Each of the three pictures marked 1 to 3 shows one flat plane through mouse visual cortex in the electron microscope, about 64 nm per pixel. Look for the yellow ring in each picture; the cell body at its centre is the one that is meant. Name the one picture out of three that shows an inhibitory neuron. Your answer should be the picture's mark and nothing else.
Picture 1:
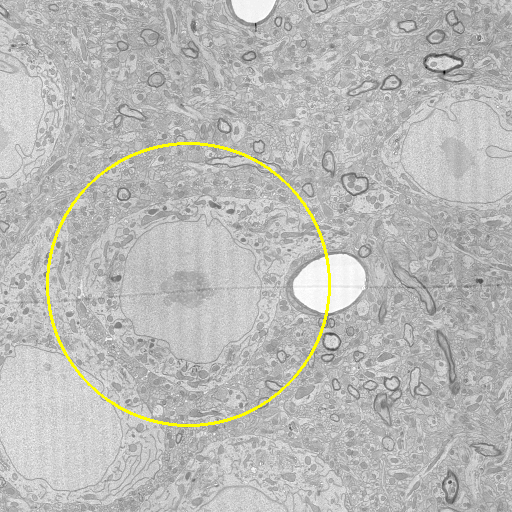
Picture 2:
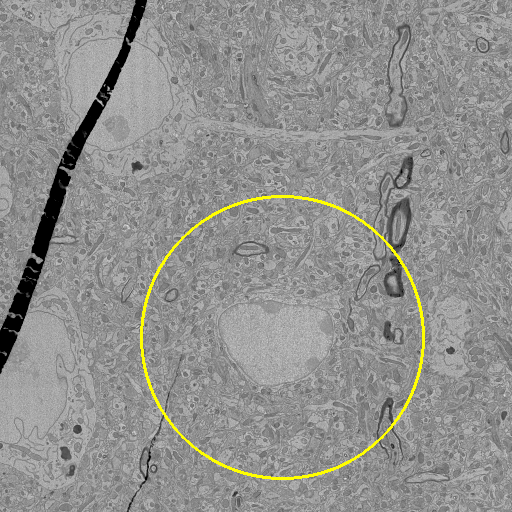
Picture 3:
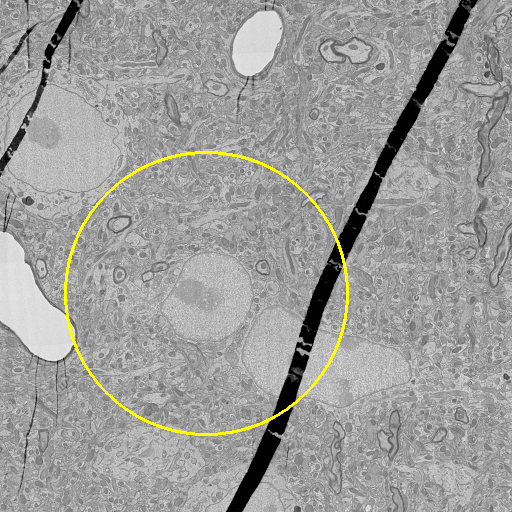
1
